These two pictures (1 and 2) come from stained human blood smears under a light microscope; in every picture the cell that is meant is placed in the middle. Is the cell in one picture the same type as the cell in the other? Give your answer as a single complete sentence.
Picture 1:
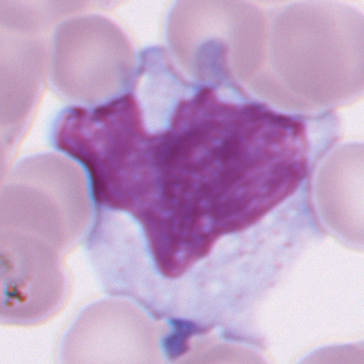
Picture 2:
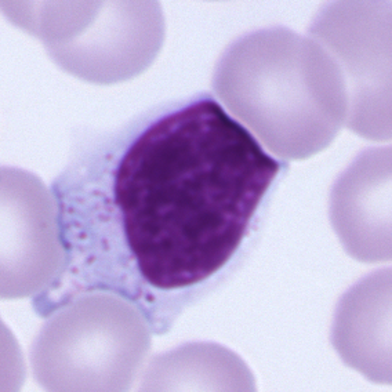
No. Picture 1 shows a monocyte, but picture 2 shows a large granular lymphocyte.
